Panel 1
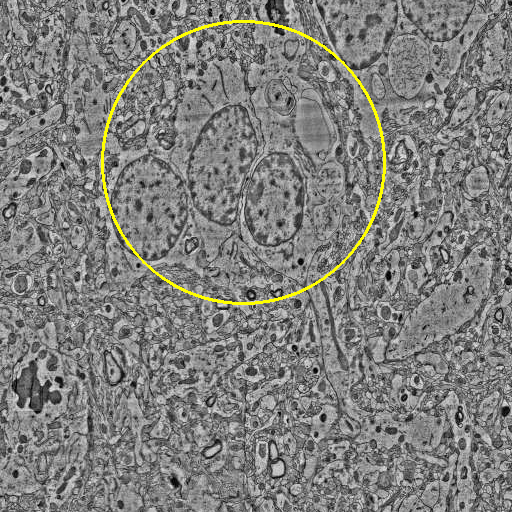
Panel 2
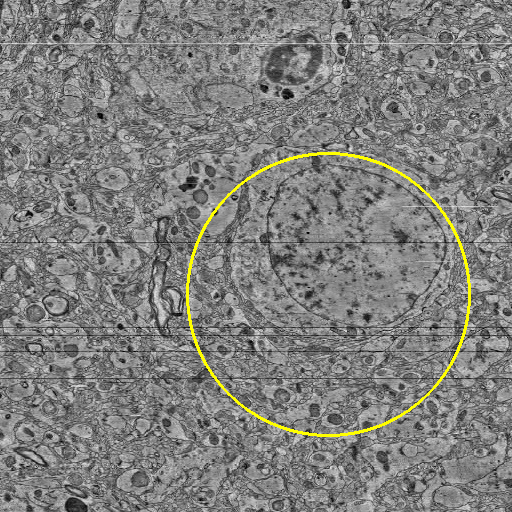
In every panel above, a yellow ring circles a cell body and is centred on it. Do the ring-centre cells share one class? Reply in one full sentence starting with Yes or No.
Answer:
No, the two cells at the ring centres in the panels belong to two classes.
